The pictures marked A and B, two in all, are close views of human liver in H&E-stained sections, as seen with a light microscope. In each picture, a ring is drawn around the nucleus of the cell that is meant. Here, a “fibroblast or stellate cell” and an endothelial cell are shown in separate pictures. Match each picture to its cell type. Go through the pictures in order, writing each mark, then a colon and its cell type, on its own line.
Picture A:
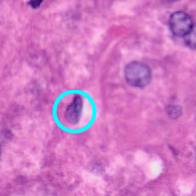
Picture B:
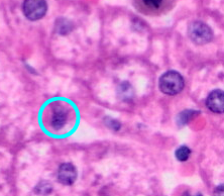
A: endothelial cell
B: fibroblast or stellate cell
